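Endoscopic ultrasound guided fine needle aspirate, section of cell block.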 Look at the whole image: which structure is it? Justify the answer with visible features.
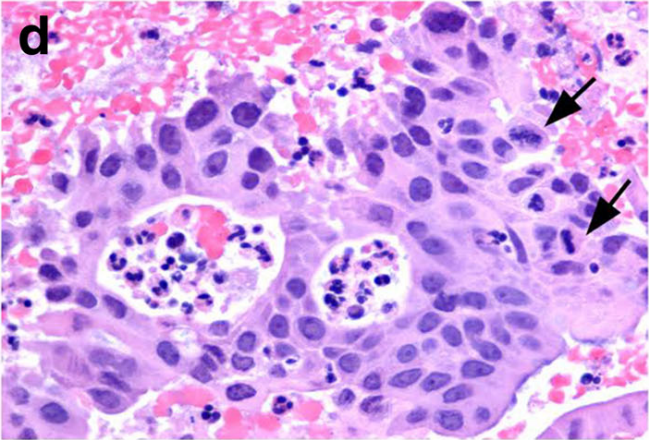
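Cribriform architecture. A sheet of cells is punched by round spaces. The round spaces are filled with neutrophils and debris.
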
